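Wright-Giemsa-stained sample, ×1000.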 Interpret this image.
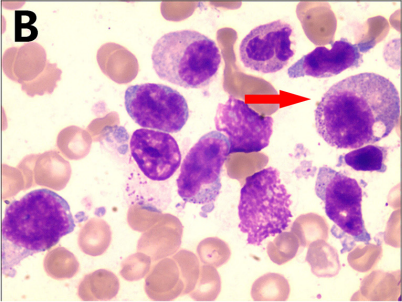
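This smear shows large granular lymphocytes lying among red blood cells and other nucleated cells. Neighbouring cells also have sizeable nuclei, some oval or irregular, with varying amounts of blue cytoplasm. Pale pink red blood cells fill the spaces between them.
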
